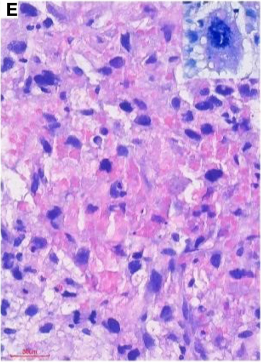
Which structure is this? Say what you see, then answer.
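Bright pink round bodies of varying sizes lie among the tumor cells. The pink bodies cluster in the centre of the field. On this evidence: Eosinophilic globules.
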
